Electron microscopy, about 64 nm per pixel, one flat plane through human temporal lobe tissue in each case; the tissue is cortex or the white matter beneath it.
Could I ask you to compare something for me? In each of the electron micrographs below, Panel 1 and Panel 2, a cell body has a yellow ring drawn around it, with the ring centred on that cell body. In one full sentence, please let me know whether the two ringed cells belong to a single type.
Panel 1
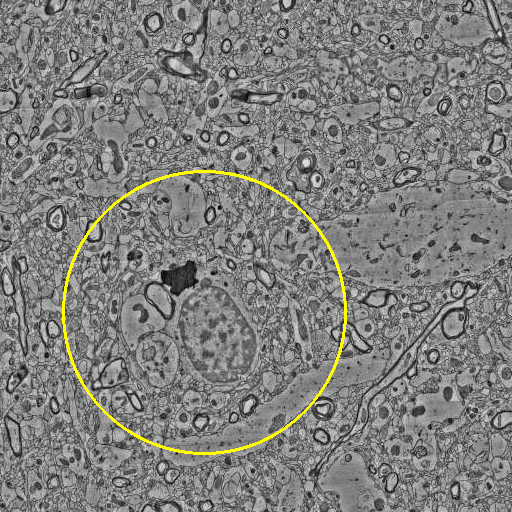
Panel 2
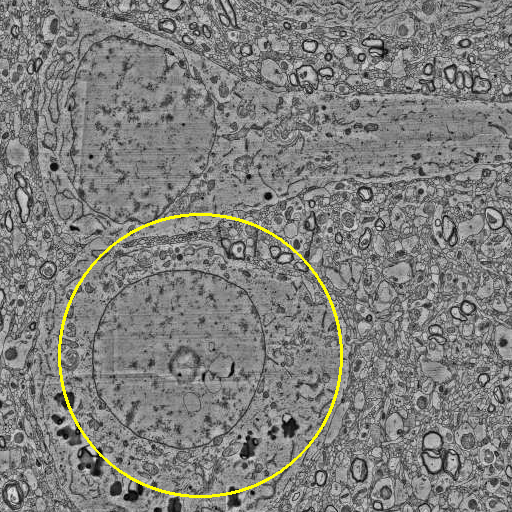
No, the two cells at the centres of the rings are of two types.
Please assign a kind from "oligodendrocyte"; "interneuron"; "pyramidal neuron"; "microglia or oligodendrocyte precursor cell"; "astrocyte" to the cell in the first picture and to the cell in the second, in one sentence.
In the first picture we have an oligodendrocyte, and in the second, a pyramidal neuron.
